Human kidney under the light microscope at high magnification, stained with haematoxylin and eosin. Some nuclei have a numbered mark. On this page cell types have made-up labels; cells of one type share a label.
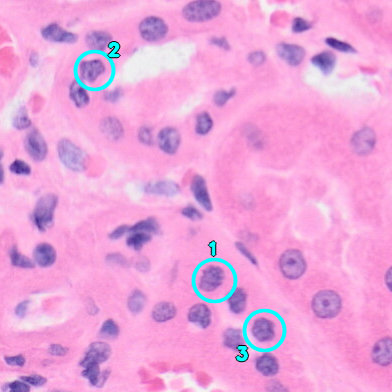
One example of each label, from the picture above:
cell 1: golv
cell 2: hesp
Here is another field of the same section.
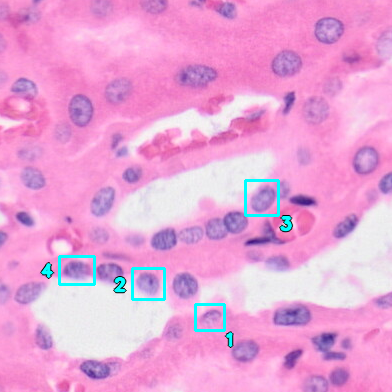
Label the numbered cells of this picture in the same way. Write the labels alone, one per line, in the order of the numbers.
golv
golv
hesp
golv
